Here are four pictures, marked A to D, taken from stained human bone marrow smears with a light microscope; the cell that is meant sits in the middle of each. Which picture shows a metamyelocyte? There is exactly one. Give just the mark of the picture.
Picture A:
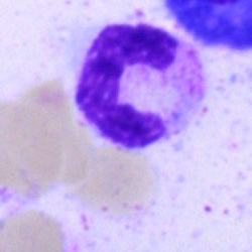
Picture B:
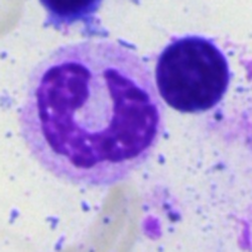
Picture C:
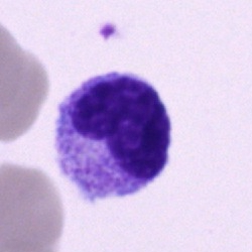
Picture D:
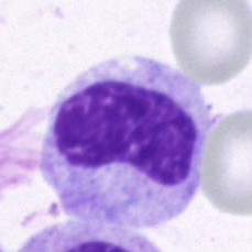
C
